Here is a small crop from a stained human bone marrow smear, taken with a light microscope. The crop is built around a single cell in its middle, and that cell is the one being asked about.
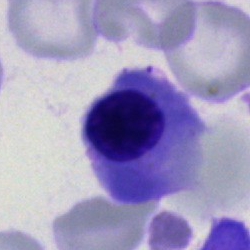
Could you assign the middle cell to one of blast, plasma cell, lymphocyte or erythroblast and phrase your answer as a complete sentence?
The central cell shown in this smear crop is an erythroblast.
